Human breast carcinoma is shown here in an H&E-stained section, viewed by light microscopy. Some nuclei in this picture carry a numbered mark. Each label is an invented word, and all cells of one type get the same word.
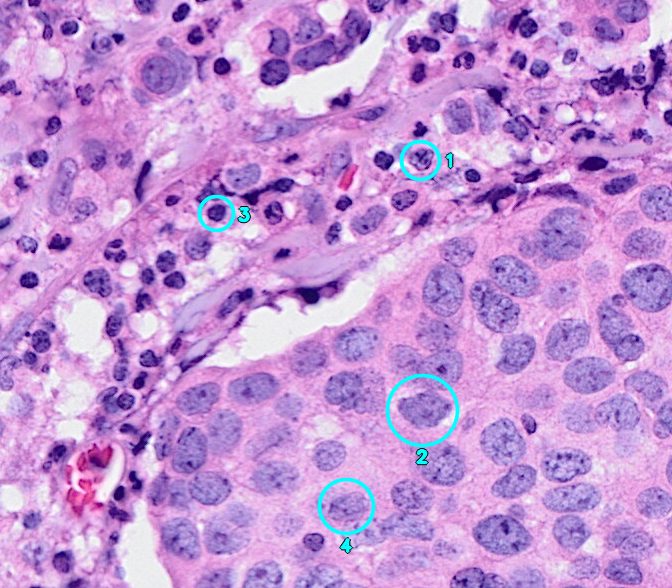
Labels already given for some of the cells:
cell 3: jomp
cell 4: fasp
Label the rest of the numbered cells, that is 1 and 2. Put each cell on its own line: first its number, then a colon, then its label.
1: jomp
2: fasp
